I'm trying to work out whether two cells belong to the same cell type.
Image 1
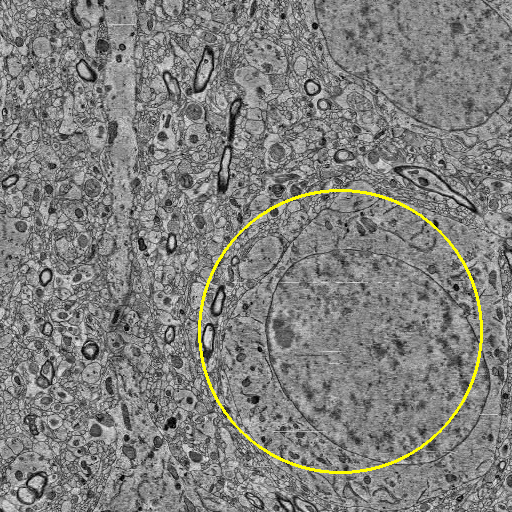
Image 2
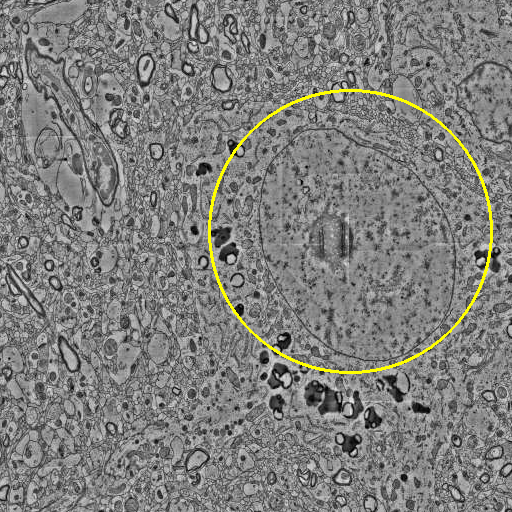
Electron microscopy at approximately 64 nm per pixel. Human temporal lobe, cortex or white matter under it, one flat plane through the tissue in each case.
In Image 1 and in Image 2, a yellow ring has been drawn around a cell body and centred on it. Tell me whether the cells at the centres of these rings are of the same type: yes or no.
yes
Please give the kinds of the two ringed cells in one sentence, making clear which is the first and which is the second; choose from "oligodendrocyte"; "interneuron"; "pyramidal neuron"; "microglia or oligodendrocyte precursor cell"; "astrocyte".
Each cell, in the first picture and the second, is a pyramidal neuron.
